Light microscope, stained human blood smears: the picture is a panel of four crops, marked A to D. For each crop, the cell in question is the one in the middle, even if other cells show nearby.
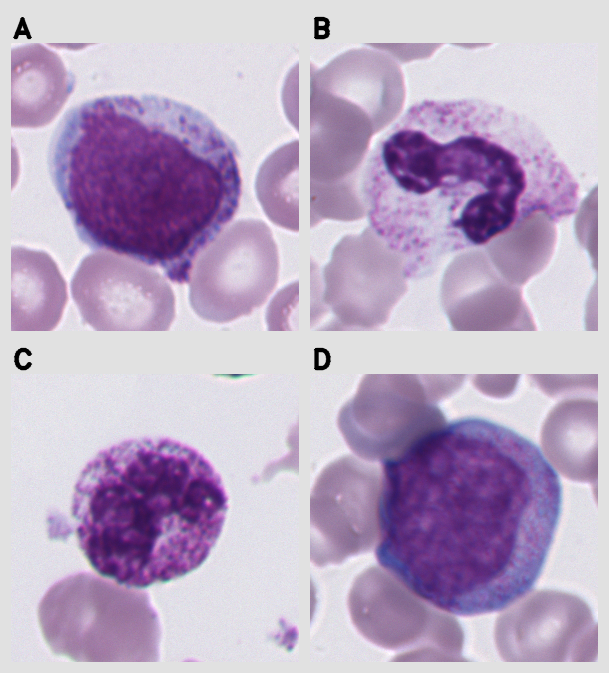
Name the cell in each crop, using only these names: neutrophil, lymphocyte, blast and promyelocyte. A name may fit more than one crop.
A: promyelocyte
B: neutrophil
C: neutrophil
D: promyelocyte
